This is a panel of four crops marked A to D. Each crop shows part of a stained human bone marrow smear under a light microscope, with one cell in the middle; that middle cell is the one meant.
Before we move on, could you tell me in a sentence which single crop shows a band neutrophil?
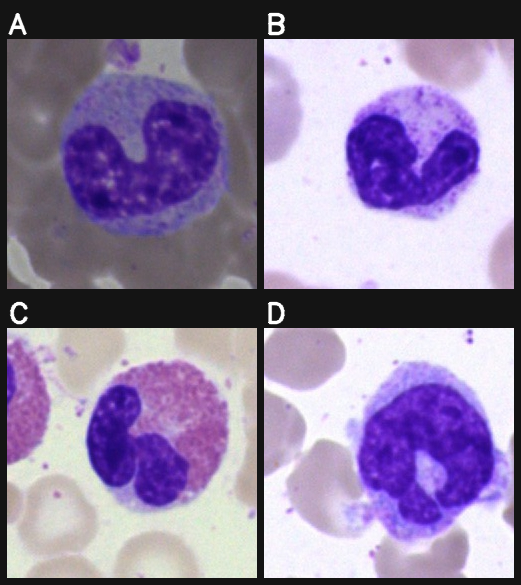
Among the crops given, only crop A shows a band neutrophil.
